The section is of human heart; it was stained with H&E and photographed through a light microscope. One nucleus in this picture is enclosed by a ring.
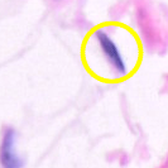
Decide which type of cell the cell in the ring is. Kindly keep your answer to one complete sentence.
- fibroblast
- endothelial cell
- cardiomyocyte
What the cell in the ring represents is a fibroblast.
